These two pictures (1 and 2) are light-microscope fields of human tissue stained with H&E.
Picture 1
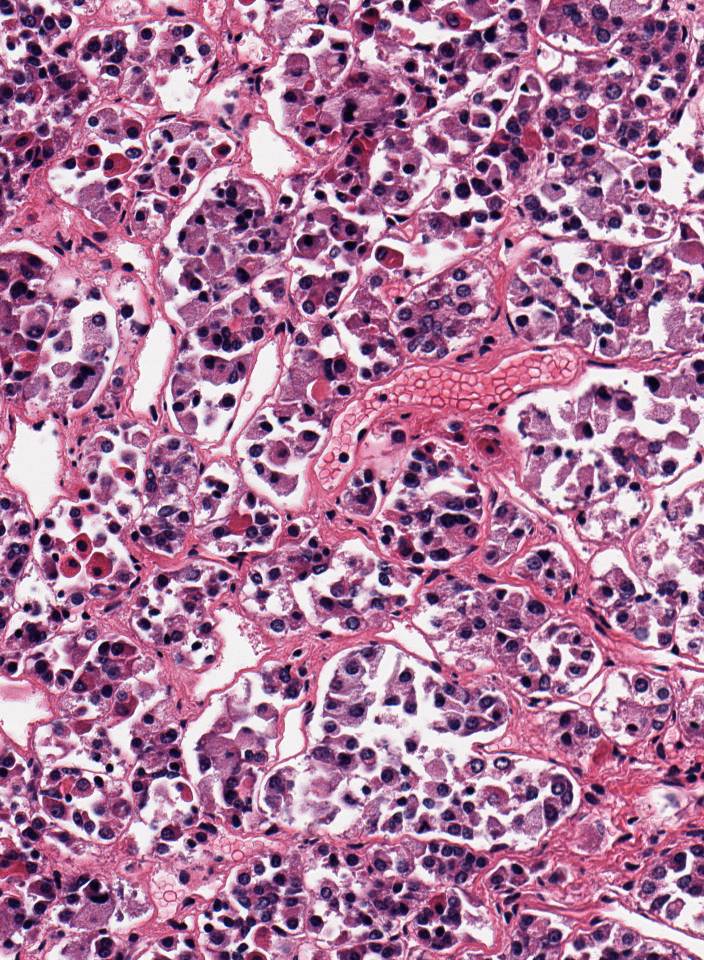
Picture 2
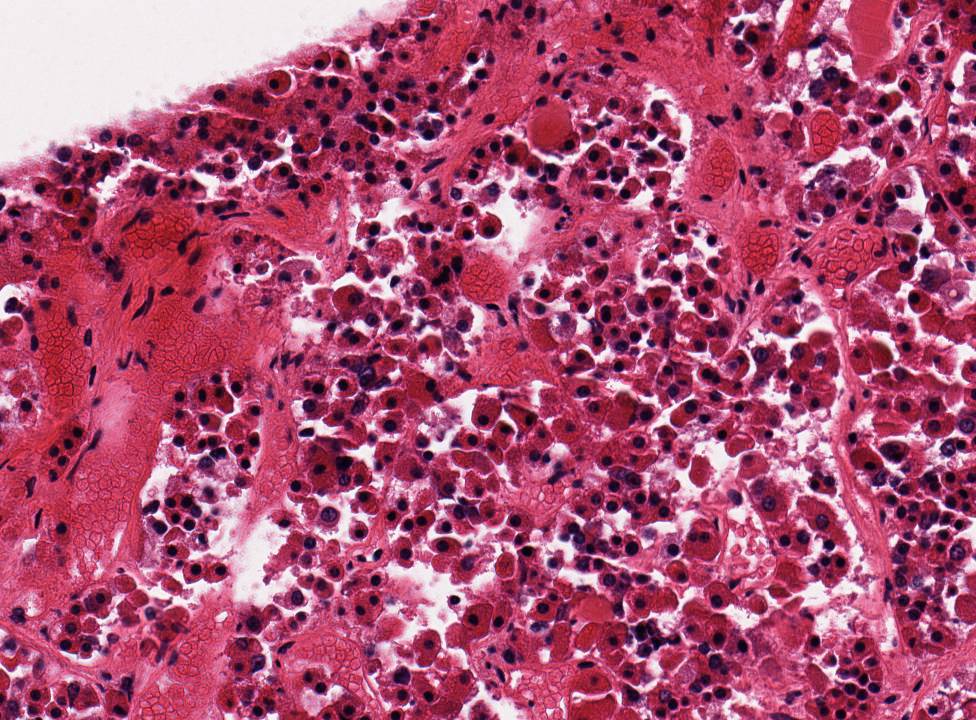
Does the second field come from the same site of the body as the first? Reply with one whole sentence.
Yes, the two fields both come from the pituitary.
